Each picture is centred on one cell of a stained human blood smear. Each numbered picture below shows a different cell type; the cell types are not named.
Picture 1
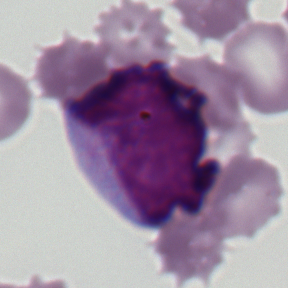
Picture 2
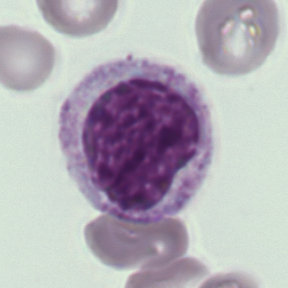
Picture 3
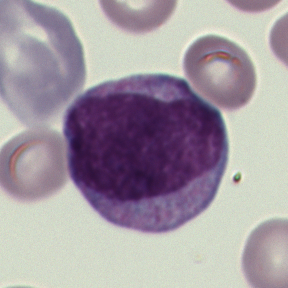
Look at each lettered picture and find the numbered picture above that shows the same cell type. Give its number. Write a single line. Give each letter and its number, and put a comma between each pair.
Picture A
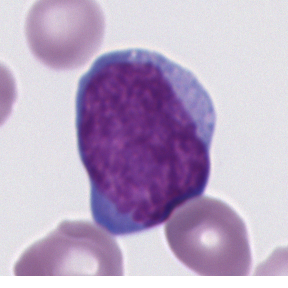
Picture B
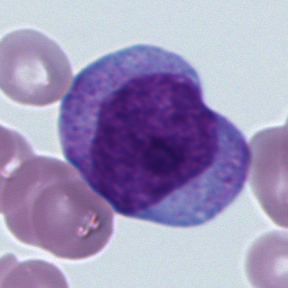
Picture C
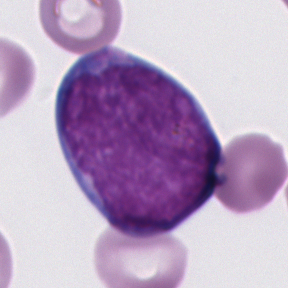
A 1, B 3, C 1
